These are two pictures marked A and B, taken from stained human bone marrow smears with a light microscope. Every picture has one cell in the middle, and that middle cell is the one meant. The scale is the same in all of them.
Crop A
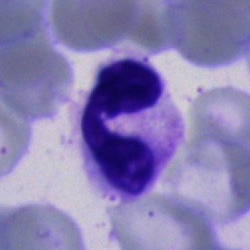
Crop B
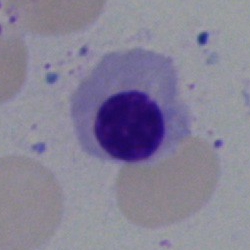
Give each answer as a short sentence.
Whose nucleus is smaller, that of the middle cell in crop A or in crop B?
Crop B shows the smaller nucleus, since that in crop A covers about 1.5 times as much area.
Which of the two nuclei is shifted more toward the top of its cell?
Seen within its cell, the nucleus in crop A lies further toward the top.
